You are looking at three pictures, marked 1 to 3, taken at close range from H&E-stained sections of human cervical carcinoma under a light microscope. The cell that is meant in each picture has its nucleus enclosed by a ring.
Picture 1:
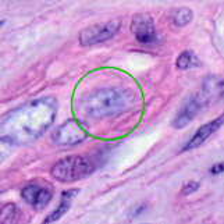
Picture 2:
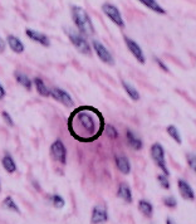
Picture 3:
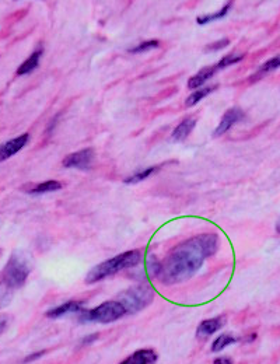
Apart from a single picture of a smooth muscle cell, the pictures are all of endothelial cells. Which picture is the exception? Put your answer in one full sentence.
Picture 2 is the one that shows the smooth muscle cell.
